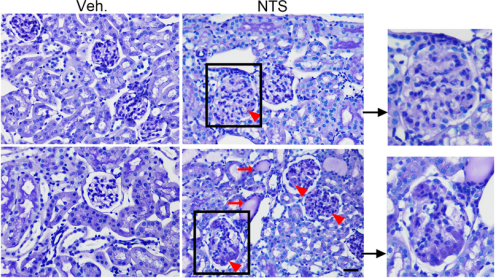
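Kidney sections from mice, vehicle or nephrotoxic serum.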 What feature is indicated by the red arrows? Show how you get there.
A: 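Homogeneous pale pink-purple material fills tubule lumina. The filled tubules are dilated.
Answer: tubular casts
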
